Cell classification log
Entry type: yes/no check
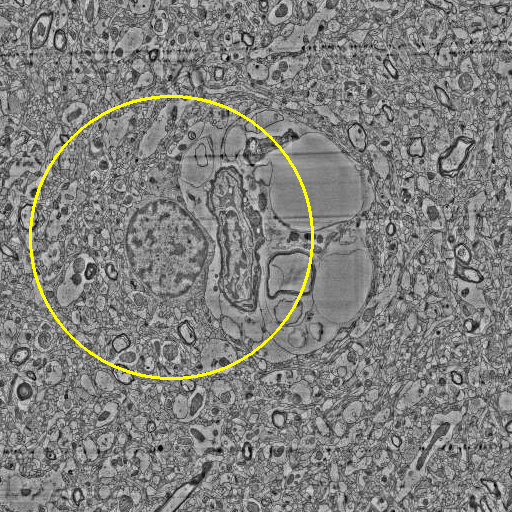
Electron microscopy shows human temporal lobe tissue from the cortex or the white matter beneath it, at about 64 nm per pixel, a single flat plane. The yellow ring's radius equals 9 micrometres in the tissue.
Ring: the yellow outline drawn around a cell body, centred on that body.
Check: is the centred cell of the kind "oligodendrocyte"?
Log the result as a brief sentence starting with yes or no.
Yes, the cell is of that kind.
